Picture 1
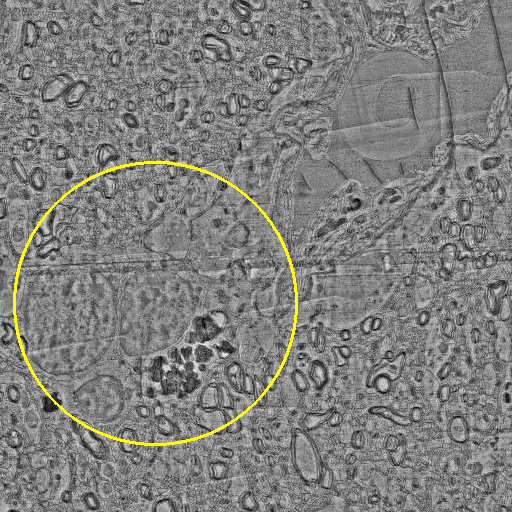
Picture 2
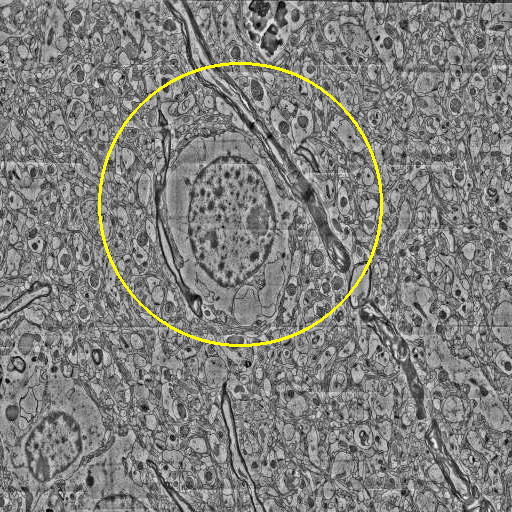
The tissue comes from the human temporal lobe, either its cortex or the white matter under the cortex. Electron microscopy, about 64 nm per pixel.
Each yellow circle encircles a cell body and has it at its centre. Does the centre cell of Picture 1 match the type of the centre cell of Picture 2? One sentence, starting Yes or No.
No, the cell centred in Picture 1 and the one in Picture 2 have separate types.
